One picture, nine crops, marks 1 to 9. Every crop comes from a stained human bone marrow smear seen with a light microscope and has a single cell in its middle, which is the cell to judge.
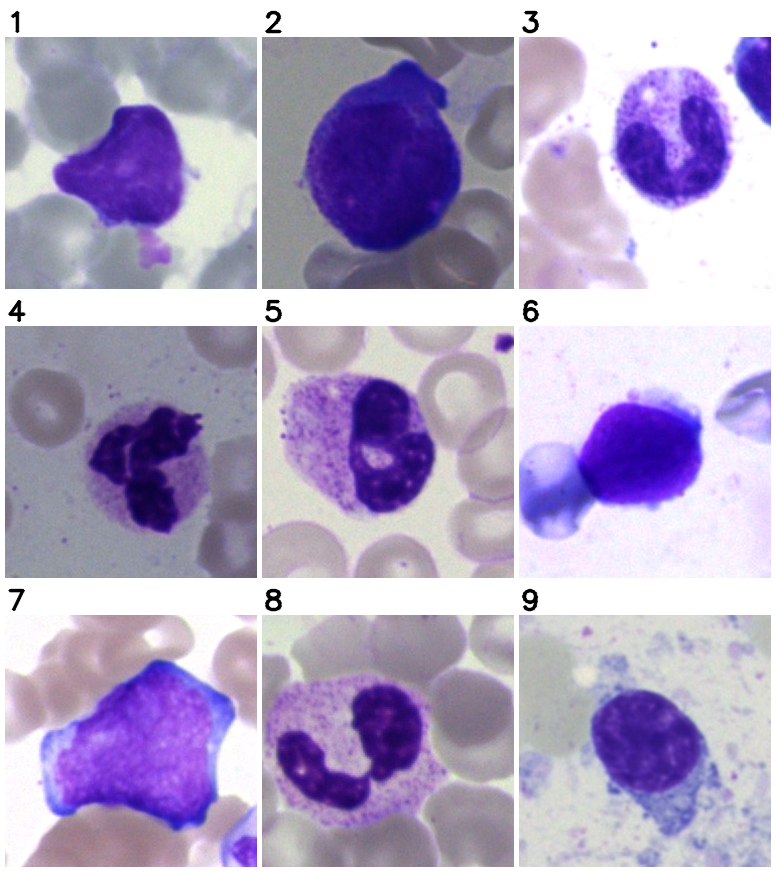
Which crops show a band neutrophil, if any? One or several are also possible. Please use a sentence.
No other crop besides crop 3 shows a band neutrophil.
